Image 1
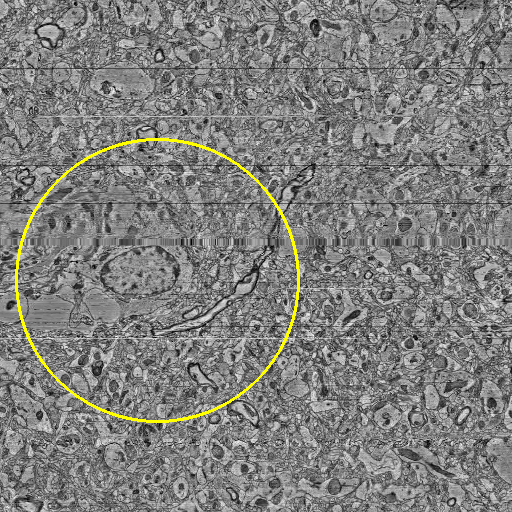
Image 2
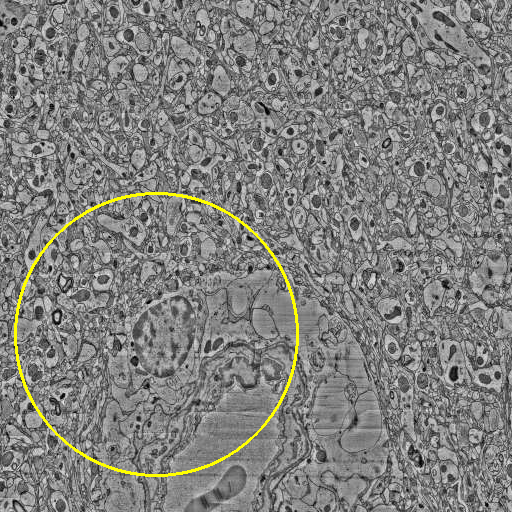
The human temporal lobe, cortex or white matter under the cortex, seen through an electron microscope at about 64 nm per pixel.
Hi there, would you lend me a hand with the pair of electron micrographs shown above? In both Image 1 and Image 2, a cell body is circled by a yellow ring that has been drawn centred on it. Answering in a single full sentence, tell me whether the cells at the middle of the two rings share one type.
Yes, the ringed cells in Image 1 and Image 2 share one type.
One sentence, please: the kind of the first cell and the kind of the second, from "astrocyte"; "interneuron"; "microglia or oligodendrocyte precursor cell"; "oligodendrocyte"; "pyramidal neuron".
The second cell is a microglial cell or oligodendrocyte precursor cell, just as the first is.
